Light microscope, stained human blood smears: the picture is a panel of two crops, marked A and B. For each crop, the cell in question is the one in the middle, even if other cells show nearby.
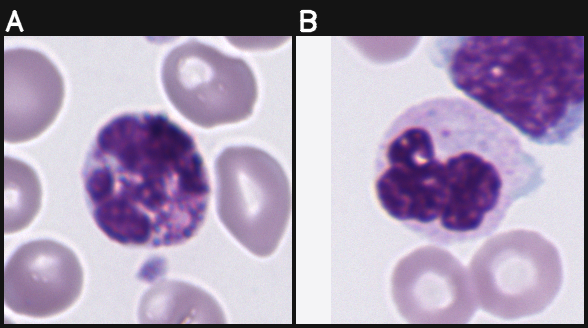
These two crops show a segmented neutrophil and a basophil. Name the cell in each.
A: basophil
B: segmented neutrophil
